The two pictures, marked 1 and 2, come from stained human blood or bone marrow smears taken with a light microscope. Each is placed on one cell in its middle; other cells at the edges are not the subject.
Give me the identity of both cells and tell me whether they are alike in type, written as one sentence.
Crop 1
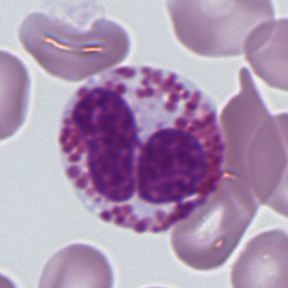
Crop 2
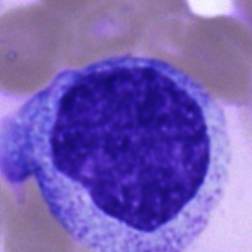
No, crop 1 holds an eosinophil, and a promyelocyte occupies crop 2.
